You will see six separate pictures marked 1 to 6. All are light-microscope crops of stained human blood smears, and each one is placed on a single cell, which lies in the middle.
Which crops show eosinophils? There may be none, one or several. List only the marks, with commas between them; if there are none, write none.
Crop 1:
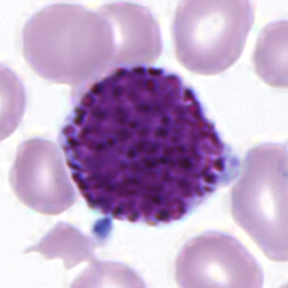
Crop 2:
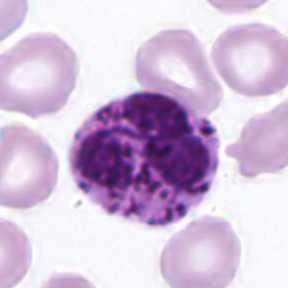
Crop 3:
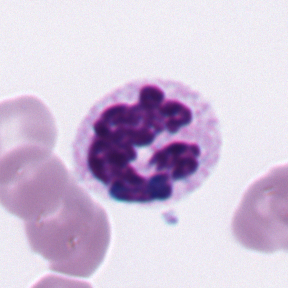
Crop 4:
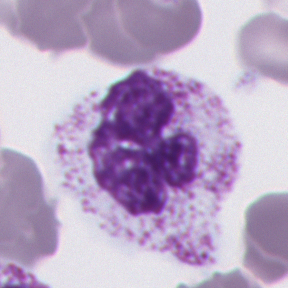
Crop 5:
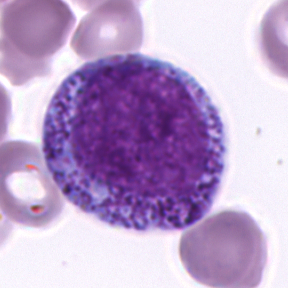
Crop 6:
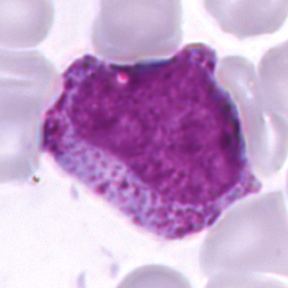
none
